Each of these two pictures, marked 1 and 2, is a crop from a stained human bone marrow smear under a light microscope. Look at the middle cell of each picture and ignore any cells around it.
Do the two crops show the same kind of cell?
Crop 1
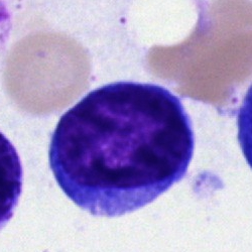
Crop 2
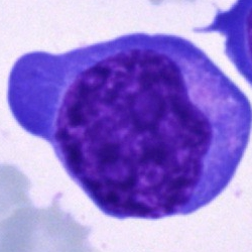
yes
